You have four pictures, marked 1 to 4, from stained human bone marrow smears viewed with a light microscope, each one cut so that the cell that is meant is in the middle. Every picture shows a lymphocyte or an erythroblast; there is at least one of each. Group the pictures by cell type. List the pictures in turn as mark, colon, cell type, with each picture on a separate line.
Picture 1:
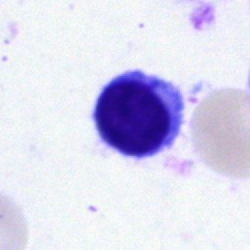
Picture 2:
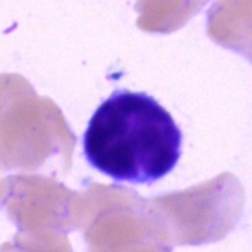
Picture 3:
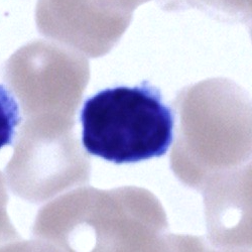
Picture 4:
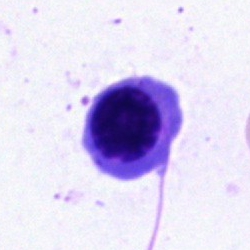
1: lymphocyte
2: lymphocyte
3: lymphocyte
4: erythroblast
